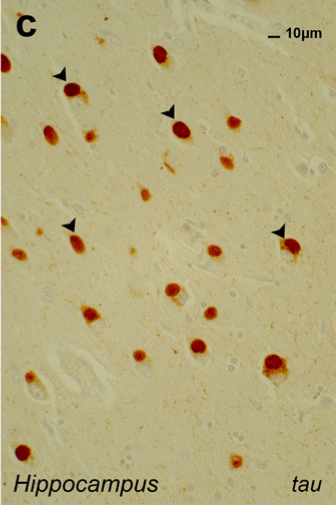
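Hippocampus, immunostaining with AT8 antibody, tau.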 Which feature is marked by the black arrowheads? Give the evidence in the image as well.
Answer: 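Each arrowhead points to a dense, round, deep red-brown body. The bodies sit inside cell bodies, with a rim of paler brown cytoplasm beside them. Many similar round bodies are scattered across the field.
Pick bodies.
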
